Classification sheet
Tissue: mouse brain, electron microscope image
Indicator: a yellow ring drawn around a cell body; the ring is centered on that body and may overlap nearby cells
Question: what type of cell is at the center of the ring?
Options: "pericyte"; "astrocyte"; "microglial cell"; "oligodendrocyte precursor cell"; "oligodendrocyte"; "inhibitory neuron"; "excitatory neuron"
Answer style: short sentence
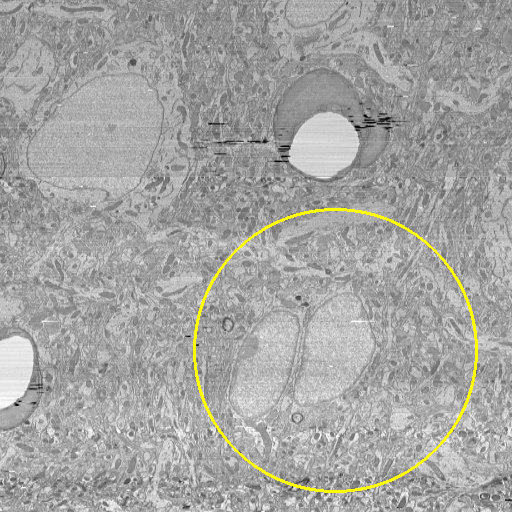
At the ring's center is an astrocyte.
